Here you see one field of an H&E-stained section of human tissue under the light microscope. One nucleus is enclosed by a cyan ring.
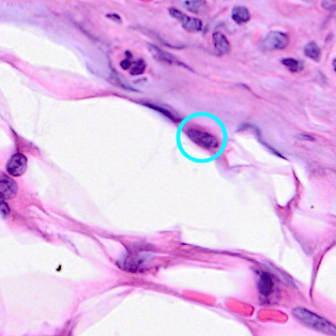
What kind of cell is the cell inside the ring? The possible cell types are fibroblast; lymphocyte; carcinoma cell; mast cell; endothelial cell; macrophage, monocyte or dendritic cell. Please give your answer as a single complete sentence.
The identity of the cell inside the ring: it is a mast cell.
